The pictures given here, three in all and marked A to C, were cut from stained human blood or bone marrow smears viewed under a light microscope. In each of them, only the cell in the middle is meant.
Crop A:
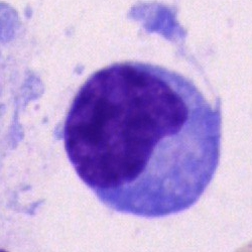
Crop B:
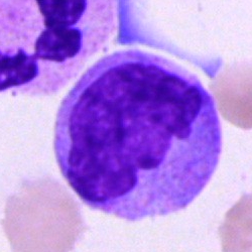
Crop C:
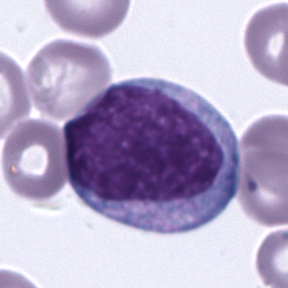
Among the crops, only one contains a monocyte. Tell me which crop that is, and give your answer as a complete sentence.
Crop B, and no other, shows a monocyte.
